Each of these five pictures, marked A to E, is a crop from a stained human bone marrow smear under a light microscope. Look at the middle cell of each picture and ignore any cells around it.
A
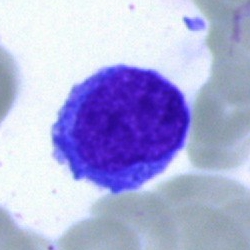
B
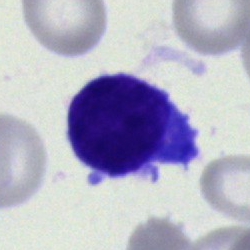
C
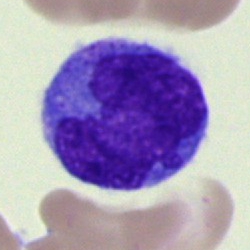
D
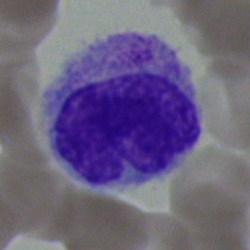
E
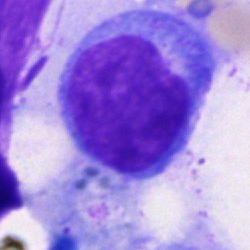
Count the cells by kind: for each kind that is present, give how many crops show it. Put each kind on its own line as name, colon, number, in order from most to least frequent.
blast: 3
monocyte: 2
